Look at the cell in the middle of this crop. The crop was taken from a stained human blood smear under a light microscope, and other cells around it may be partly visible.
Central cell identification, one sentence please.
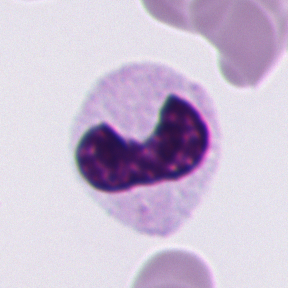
The centrally placed cell is classified as a band neutrophil.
